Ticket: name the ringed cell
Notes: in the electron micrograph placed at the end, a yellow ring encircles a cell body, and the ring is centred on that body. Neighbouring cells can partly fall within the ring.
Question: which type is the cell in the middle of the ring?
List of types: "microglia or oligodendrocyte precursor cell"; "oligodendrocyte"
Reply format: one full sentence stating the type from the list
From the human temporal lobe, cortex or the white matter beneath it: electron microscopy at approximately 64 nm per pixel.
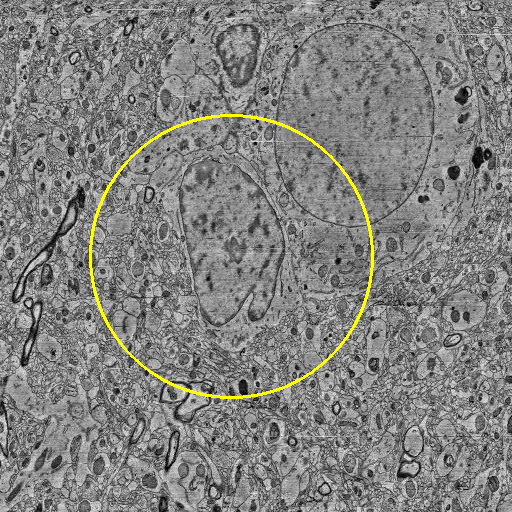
The cell sitting at the centre of the yellow ring is a microglial cell or oligodendrocyte precursor cell.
